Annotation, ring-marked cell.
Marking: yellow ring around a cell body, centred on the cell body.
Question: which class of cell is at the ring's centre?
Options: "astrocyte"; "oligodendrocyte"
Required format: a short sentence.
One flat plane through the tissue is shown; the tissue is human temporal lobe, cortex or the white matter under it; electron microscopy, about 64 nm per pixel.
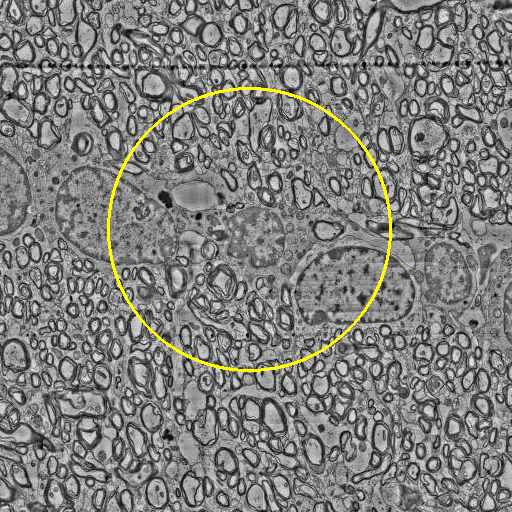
At the ring's centre is an oligodendrocyte.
